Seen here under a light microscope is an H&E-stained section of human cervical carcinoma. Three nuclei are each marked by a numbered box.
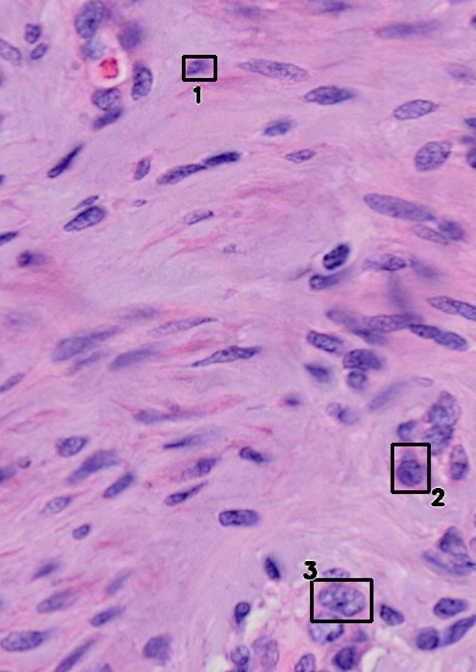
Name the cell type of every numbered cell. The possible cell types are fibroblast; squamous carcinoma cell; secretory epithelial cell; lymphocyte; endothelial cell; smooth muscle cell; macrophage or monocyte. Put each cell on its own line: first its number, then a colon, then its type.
1: smooth muscle cell
2: endothelial cell
3: endothelial cell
